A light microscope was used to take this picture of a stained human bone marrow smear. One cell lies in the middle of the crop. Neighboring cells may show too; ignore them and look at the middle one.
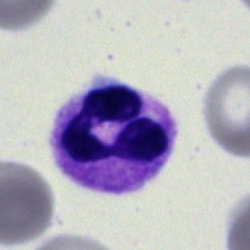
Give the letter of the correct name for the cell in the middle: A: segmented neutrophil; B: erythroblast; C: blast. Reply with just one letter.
A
